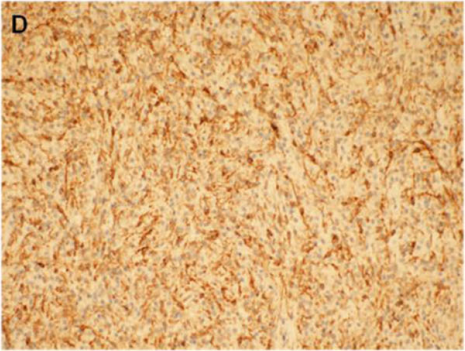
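Densely cellular tumour of spindle to ovoid cells with pale blue oval nuclei. Brown staining outlines the cell borders and cytoplasm in a patchy, uneven pattern across the sheet of cells.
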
